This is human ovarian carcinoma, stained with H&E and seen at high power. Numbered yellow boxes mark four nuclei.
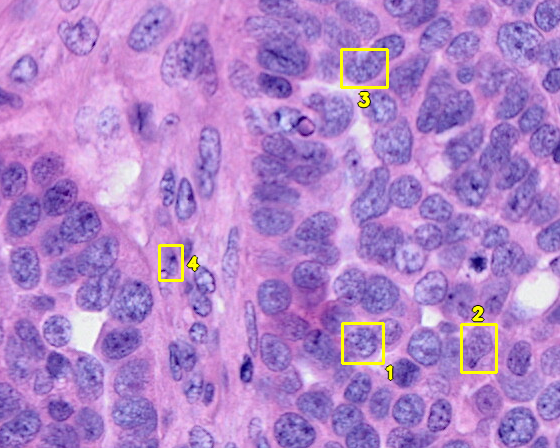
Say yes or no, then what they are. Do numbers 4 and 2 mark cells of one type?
No, cell 4 is a fibroblast and cell 2 is a carcinoma cell.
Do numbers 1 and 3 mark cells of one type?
Yes, both are carcinoma cells.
